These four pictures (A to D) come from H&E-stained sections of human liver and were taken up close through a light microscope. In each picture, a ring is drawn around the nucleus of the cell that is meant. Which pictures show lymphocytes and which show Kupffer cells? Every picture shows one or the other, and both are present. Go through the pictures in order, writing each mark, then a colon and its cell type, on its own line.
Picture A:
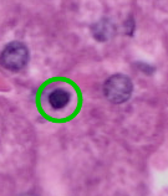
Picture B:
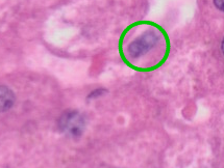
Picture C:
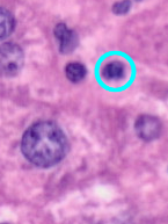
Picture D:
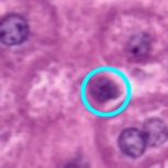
A: lymphocyte
B: Kupffer cell
C: lymphocyte
D: Kupffer cell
